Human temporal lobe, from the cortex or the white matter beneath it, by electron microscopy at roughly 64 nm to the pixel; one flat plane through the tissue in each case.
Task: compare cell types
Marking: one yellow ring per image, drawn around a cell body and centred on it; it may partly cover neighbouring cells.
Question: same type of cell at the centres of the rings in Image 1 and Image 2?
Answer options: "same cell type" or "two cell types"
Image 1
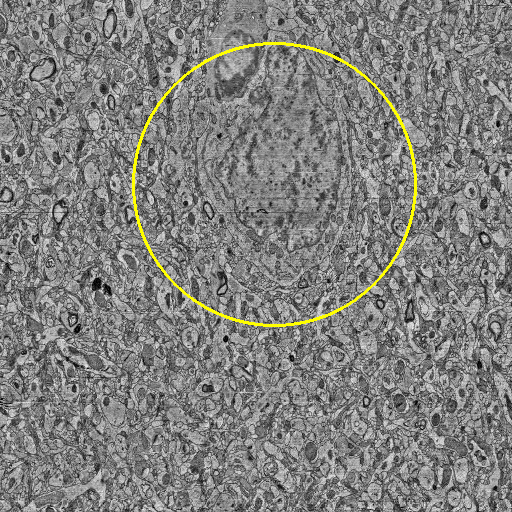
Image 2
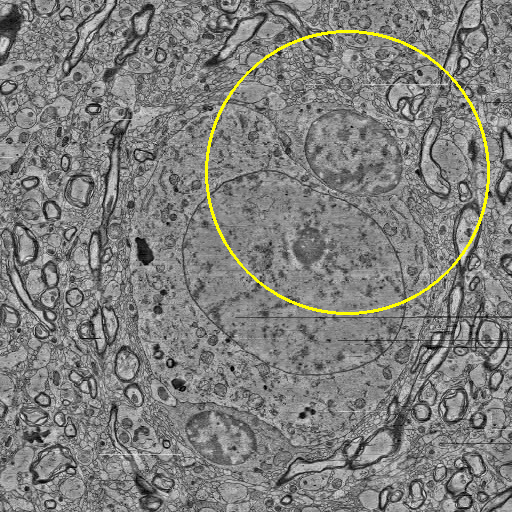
two cell types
